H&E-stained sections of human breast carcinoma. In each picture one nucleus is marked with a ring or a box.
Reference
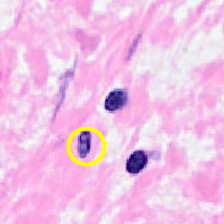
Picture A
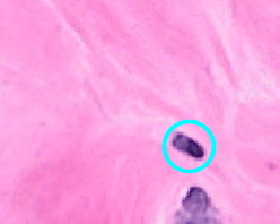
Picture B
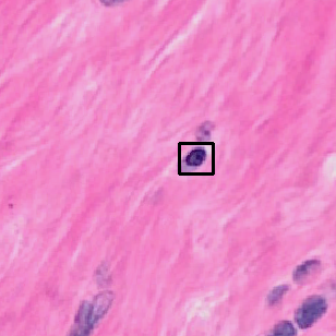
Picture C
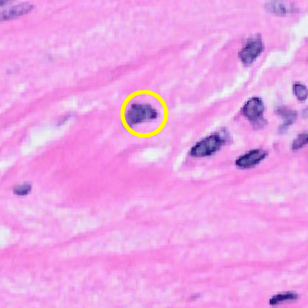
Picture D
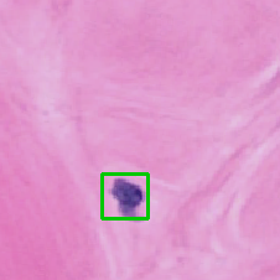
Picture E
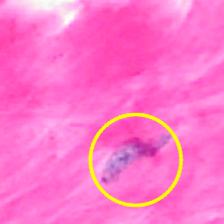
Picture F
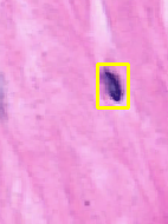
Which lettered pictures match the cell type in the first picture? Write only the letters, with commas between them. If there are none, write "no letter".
A, B, C, D, F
